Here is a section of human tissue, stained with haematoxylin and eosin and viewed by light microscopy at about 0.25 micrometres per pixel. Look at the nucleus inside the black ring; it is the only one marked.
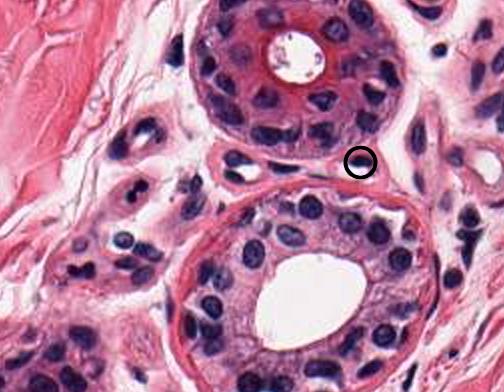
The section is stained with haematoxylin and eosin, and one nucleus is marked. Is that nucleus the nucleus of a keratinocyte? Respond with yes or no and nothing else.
no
